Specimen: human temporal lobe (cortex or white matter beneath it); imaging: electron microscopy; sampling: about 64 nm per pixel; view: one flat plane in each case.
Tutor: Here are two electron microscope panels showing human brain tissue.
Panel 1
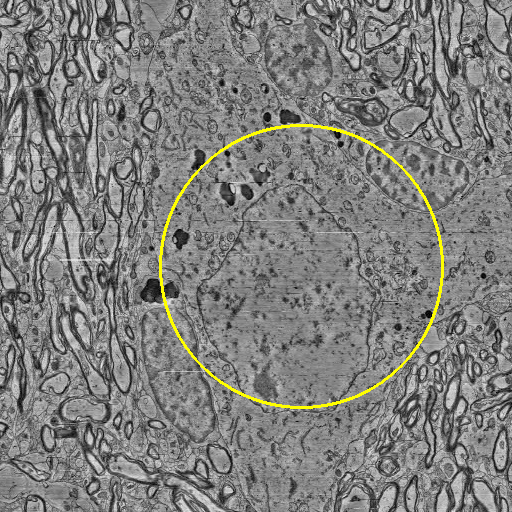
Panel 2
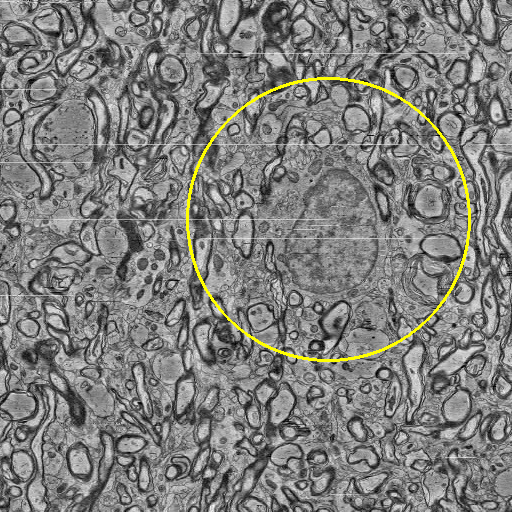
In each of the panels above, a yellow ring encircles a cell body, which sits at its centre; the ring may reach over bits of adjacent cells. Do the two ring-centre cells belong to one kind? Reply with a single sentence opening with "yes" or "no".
No, the two cells sitting at the ring centres in the panels belong to two kinds.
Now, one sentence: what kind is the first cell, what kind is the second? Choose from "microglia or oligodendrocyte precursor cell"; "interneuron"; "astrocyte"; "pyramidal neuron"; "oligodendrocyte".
The first picture has a pyramidal neuron at its ring centre, and the second has an oligodendrocyte.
